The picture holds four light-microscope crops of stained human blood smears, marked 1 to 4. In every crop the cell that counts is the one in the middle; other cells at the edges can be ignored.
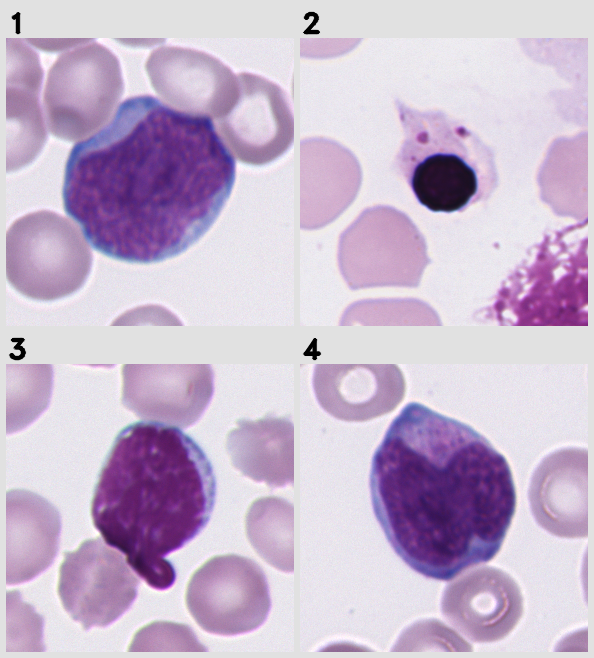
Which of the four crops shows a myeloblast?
1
